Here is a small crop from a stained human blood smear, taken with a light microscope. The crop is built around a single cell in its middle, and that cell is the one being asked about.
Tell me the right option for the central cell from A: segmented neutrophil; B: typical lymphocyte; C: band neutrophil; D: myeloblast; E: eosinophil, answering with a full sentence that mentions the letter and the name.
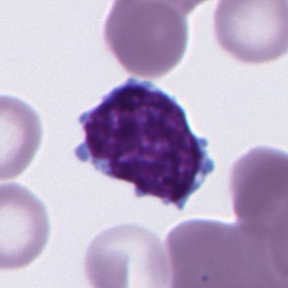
Option B is the right one, for the cell in the middle is a typical lymphocyte.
